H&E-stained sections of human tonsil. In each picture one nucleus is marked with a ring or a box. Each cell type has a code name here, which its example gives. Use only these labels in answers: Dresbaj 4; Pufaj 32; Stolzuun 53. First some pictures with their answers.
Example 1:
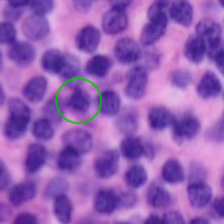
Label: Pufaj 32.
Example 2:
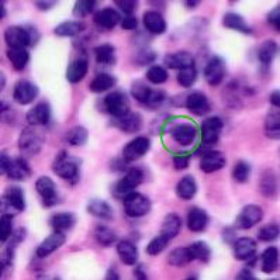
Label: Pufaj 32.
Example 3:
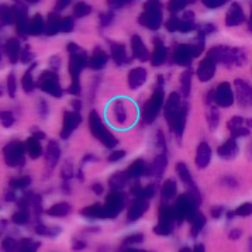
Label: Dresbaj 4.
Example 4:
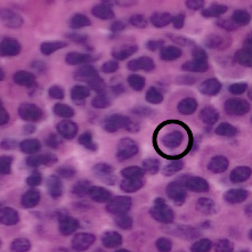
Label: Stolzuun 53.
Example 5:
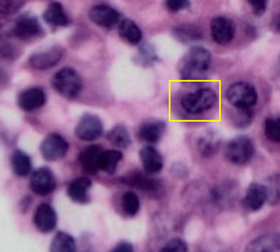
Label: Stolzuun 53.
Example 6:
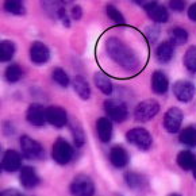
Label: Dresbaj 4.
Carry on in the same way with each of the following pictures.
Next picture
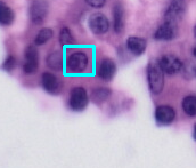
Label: Stolzuun 53.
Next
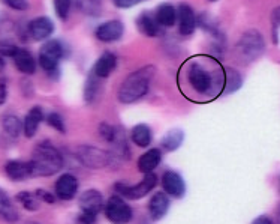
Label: Dresbaj 4.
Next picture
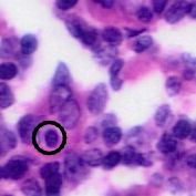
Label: Dresbaj 4.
